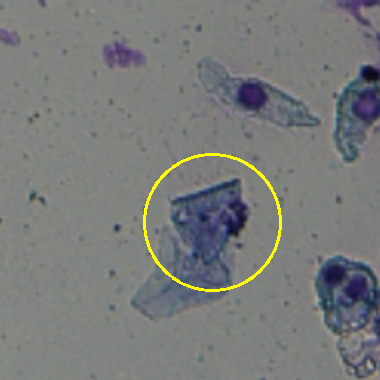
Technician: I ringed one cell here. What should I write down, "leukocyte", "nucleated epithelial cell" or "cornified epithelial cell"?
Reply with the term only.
cornified epithelial cell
